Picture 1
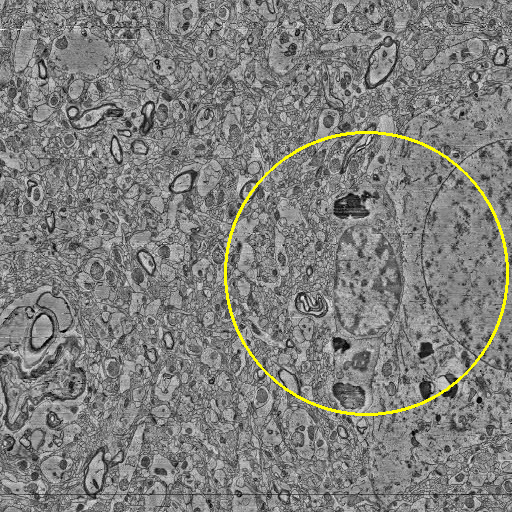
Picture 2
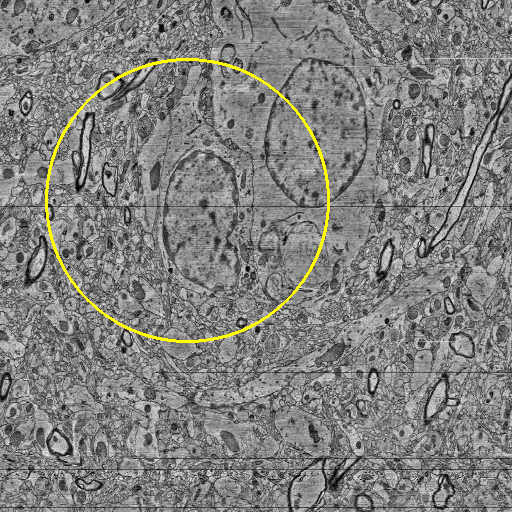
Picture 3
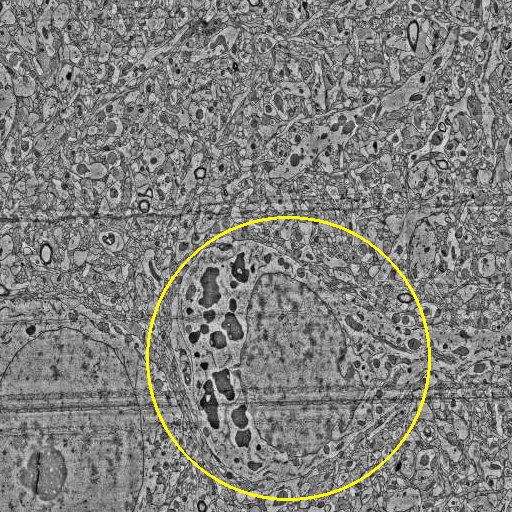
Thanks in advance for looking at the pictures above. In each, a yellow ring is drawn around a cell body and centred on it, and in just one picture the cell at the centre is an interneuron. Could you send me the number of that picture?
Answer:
3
